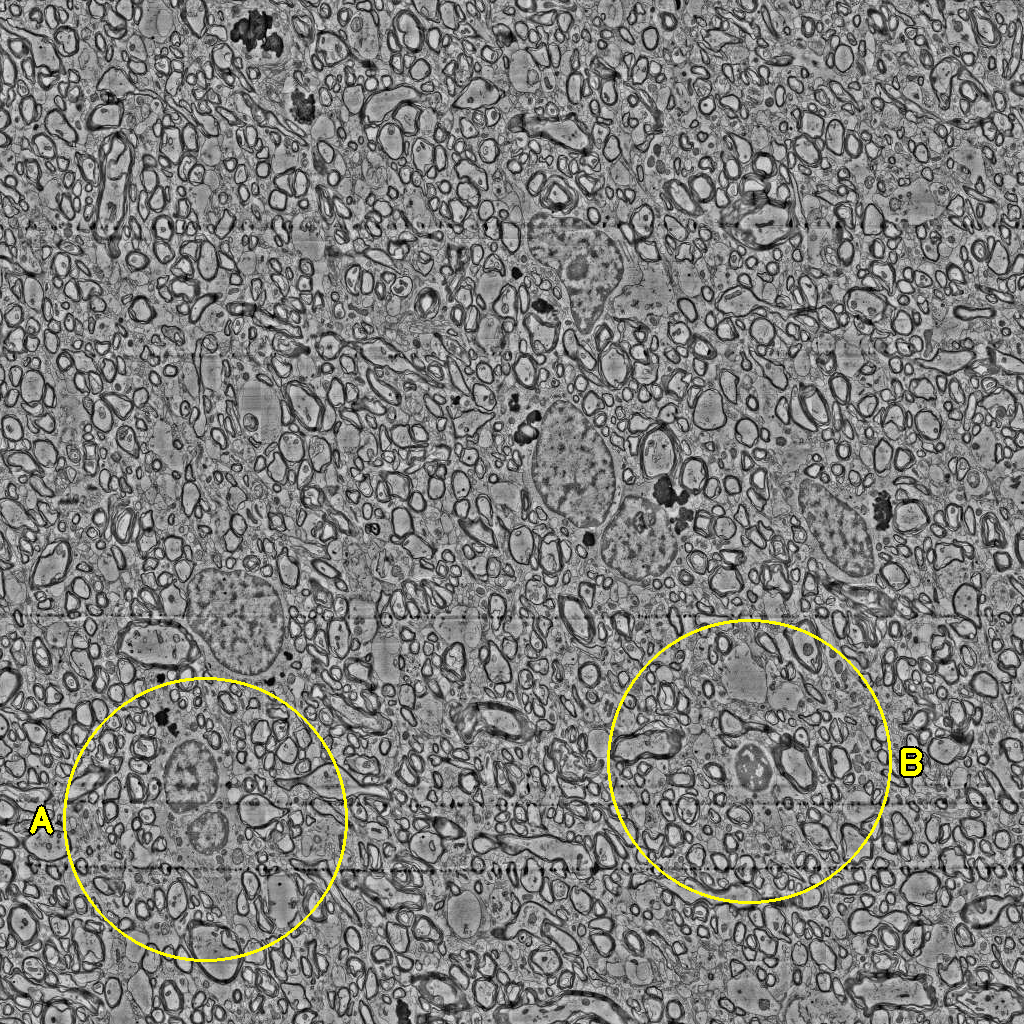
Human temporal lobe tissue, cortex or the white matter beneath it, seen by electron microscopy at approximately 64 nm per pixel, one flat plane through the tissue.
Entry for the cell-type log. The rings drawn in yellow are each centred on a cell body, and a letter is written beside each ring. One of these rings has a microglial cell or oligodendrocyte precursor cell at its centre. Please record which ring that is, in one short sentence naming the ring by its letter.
Ring B is centred on it.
